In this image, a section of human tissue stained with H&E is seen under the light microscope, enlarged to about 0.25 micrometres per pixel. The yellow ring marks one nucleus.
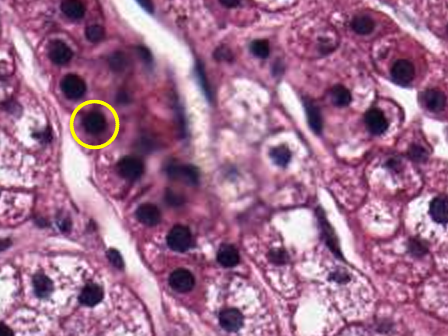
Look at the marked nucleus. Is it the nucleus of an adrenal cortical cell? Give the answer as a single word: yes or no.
yes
